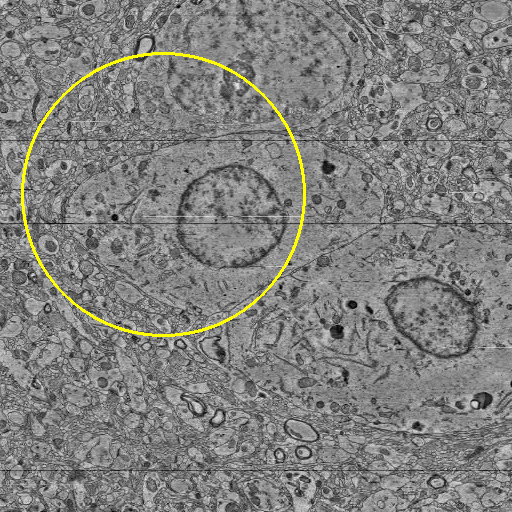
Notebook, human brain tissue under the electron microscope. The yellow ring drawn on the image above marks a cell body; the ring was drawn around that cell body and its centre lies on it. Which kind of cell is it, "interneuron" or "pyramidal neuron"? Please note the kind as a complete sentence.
The marked cell body is that of a pyramidal neuron.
